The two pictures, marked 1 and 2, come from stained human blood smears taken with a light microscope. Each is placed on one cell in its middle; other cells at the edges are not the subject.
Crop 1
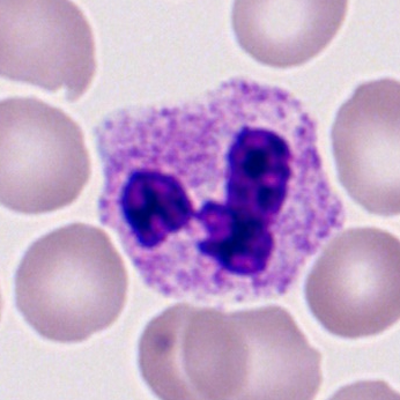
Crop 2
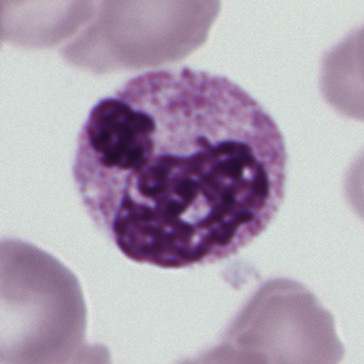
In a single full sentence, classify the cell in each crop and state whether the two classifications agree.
Yes, the middle cells in both crops are indeed segmented neutrophils.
